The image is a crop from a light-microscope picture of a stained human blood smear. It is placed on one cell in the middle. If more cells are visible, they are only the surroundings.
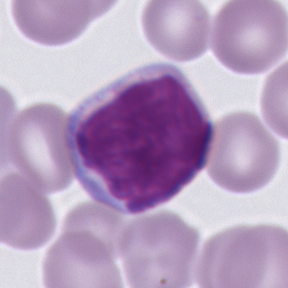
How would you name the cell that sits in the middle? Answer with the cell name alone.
large granular lymphocyte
